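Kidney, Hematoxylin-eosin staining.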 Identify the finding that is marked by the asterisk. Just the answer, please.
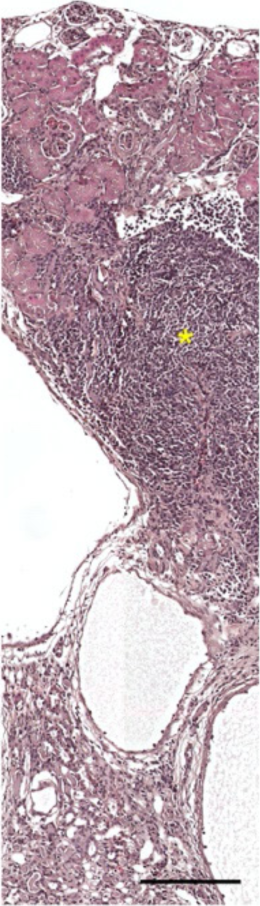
Clusters of inflammatory cells.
